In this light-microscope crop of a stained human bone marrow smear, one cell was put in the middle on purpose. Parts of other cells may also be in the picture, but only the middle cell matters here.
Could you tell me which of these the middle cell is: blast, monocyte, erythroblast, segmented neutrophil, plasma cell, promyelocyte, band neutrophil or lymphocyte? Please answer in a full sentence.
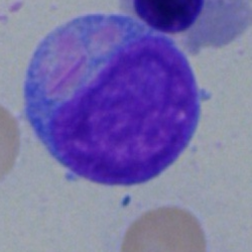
The cell at the heart of this crop is a blast.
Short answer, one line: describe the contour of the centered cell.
Smooth edges only, with no spikes, blebs, or other projections.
